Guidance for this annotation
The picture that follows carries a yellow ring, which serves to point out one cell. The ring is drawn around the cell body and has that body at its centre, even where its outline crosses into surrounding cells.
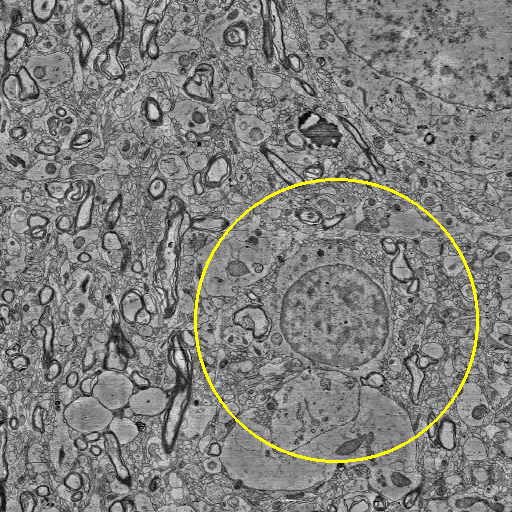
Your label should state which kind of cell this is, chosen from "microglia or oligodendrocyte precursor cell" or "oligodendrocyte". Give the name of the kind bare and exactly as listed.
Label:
oligodendrocyte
